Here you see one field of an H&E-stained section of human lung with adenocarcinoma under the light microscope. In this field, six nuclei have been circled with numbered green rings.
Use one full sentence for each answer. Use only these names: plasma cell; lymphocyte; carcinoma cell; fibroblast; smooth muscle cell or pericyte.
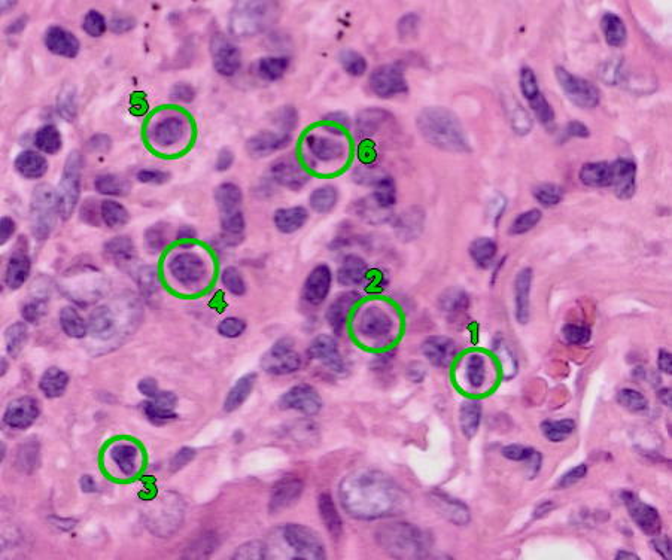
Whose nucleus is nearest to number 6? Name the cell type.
The nucleus nearest to number 6 is that of a lymphocyte.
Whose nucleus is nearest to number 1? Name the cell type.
The nucleus nearest to number 1 is that of a fibroblast.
